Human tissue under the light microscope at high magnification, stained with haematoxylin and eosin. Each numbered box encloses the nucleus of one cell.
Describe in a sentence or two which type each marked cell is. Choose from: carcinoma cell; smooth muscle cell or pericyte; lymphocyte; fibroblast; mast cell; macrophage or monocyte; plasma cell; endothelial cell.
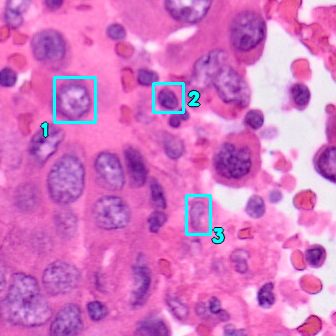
Cell 1 is a carcinoma cell, cell 2 is a lymphocyte and cell 3 is a macrophage or monocyte.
